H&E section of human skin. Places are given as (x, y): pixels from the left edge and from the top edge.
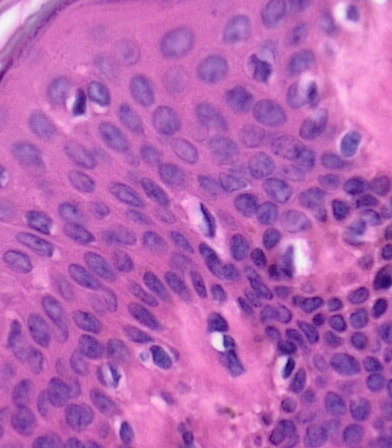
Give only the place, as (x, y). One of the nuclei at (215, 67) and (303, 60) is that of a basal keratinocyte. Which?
(303, 60)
